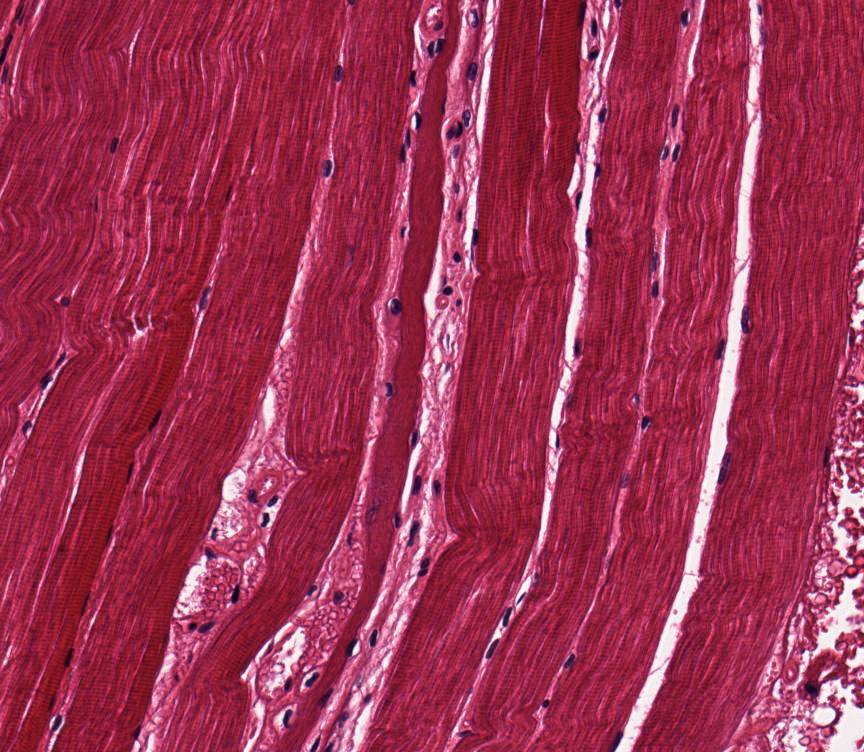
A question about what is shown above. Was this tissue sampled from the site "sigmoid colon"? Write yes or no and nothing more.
no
